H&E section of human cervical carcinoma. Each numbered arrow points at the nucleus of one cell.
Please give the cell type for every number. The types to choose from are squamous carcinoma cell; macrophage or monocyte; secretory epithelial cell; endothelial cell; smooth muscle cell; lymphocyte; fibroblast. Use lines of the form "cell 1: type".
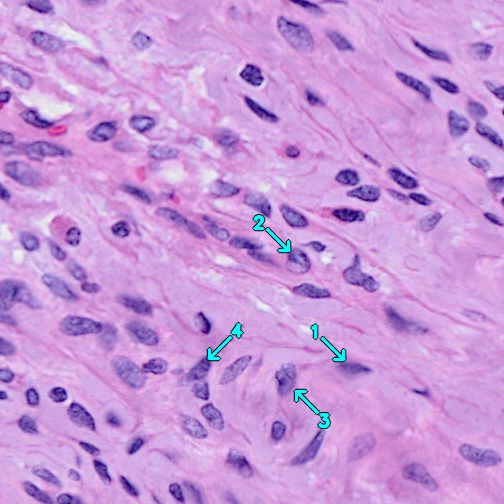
cell 1: fibroblast
cell 2: smooth muscle cell
cell 3: fibroblast
cell 4: fibroblast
